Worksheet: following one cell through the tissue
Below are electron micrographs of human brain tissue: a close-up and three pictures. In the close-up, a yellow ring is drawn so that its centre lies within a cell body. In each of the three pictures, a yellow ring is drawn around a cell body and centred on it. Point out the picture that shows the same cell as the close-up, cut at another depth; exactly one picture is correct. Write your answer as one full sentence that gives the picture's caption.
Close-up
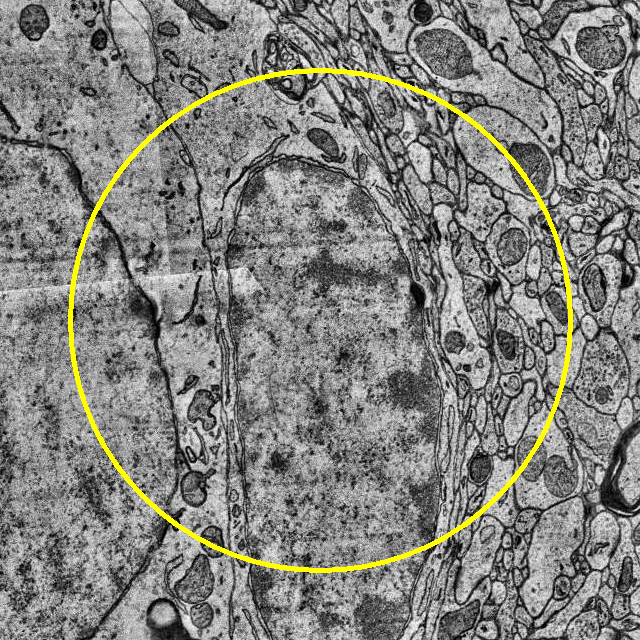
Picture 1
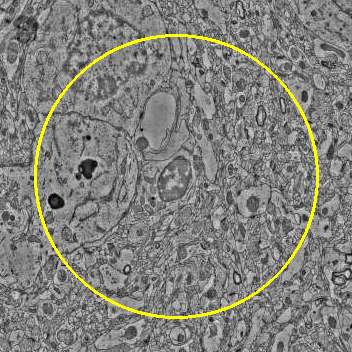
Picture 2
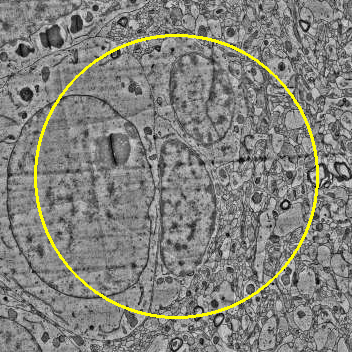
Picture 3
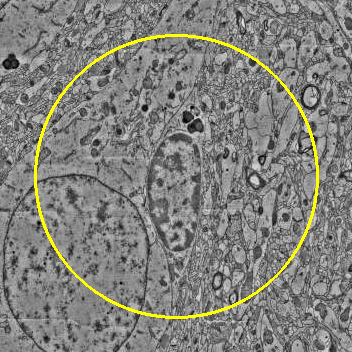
The close-up pictures the cell encircled in Picture 2.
